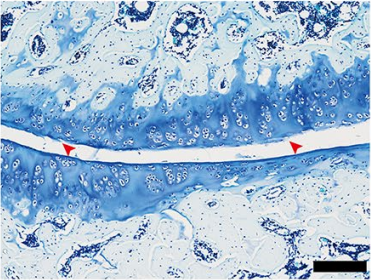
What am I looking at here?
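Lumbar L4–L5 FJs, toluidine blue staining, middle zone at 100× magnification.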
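This shows the two opposing cartilage layers of the joint, stained blue, with rounded chondrocytes lying in lacunae within the matrix. Outside the cartilage the bone shows paler trabeculae and marrow spaces.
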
